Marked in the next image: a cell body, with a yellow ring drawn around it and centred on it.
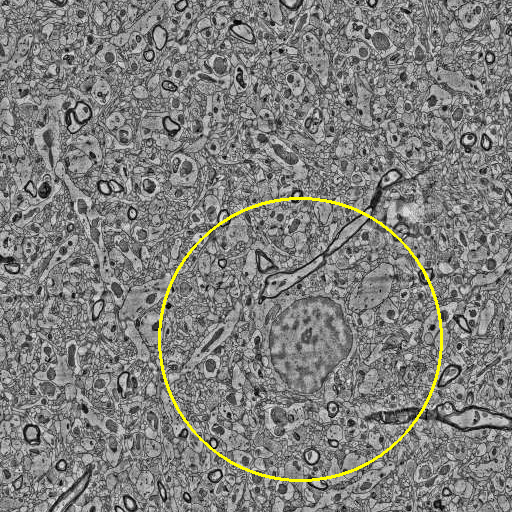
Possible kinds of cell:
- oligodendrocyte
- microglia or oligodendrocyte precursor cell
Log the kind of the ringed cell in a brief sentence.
The ringed cell body is that of an oligodendrocyte.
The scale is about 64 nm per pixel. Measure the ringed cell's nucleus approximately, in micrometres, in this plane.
The nucleus appears roughly 6 by 5 micrometres in this plane.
